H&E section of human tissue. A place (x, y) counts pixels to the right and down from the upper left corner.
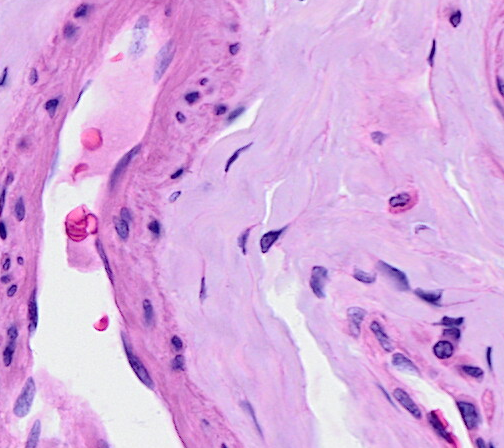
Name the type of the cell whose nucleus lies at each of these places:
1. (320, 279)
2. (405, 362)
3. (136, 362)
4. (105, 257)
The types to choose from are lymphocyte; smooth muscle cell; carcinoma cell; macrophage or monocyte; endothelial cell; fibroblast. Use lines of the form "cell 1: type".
cell 1: fibroblast
cell 2: endothelial cell
cell 3: endothelial cell
cell 4: endothelial cell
